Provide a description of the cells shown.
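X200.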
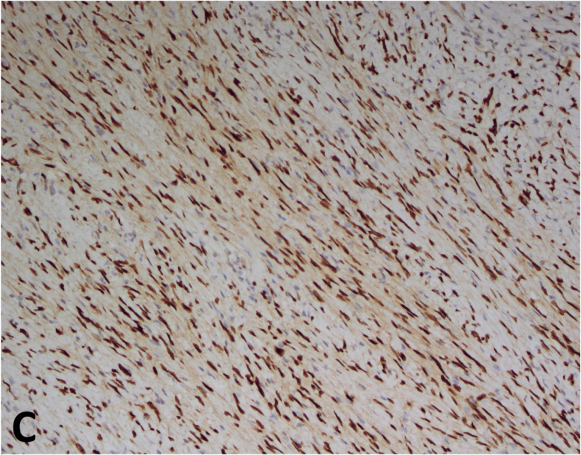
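The nuclei are long and slender, aligned in parallel streams running diagonally across the field. A faint light brown haze lies between them, and a few nuclei are pale blue instead of brown.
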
